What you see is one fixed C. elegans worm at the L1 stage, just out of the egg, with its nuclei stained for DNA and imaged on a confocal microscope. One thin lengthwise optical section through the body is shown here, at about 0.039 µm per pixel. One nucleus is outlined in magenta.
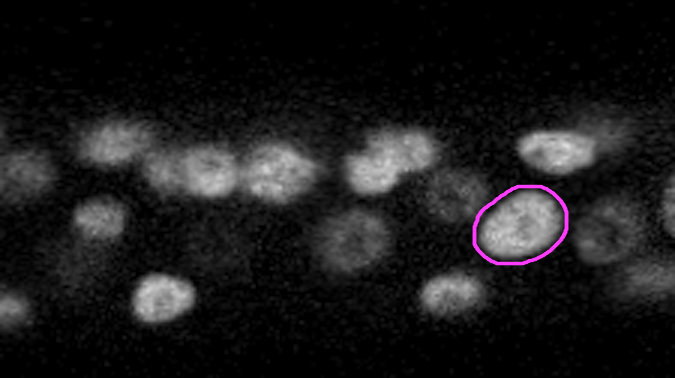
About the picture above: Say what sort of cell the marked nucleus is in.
Q neuroblast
